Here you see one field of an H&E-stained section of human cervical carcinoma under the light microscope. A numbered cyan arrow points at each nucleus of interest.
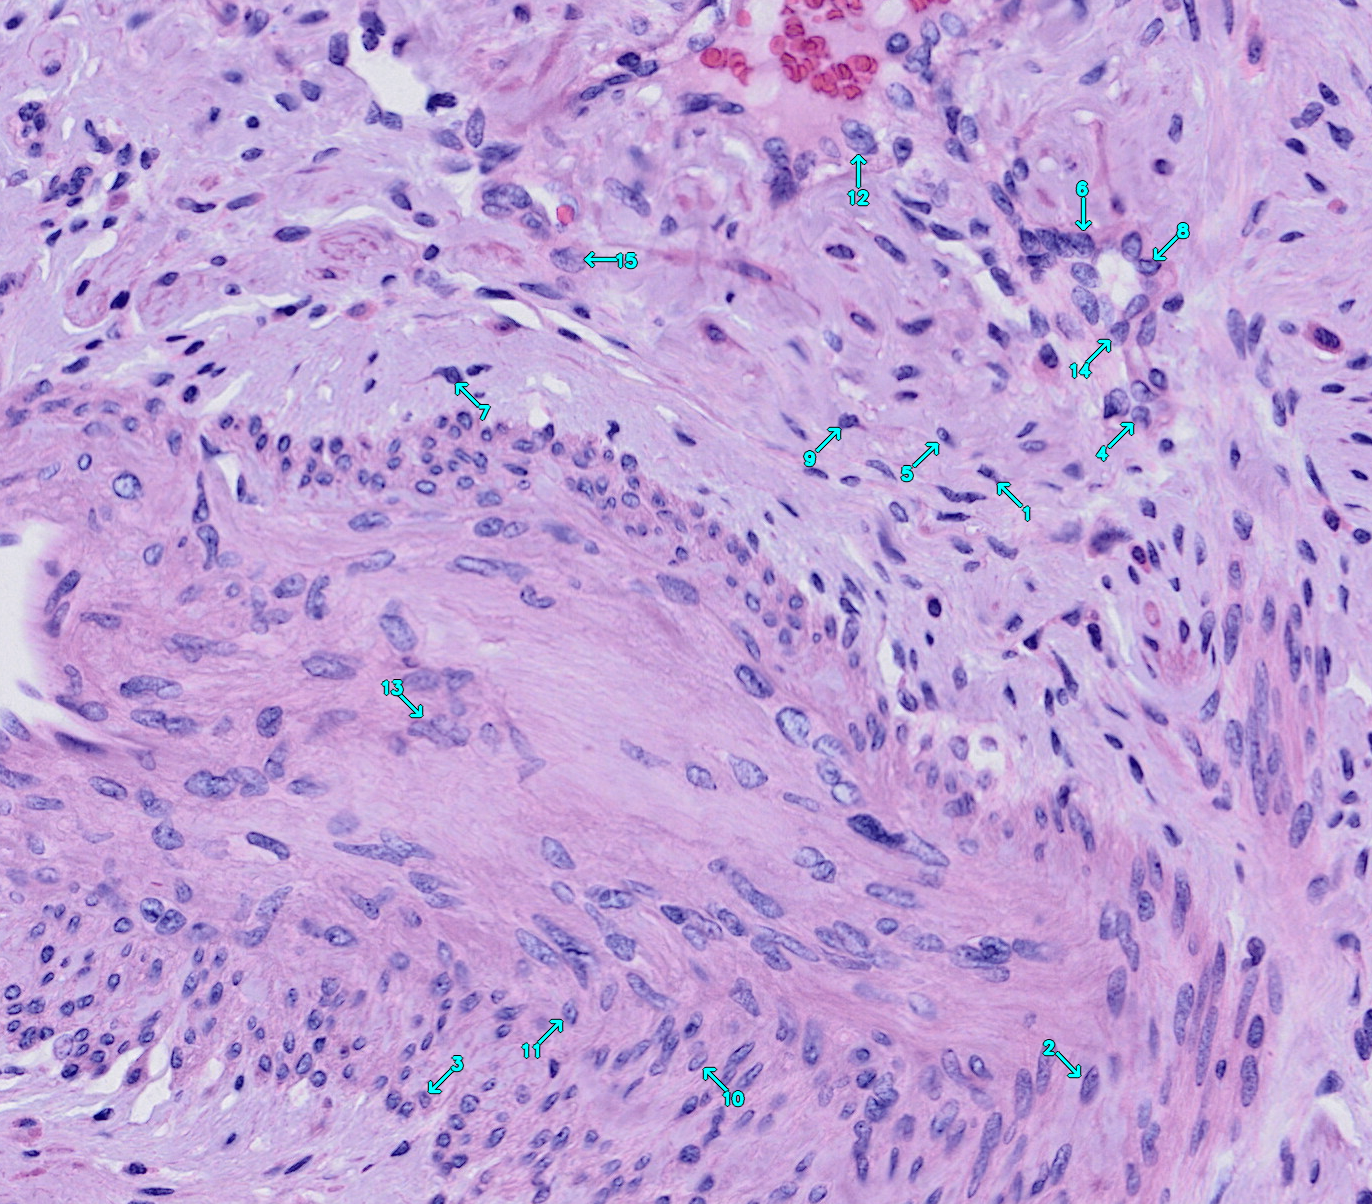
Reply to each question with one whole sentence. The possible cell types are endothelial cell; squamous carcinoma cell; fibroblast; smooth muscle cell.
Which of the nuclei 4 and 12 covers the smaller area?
Number 4 is smaller, since number 12 takes up about 2.5 times as much area.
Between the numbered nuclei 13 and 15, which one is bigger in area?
At about 1.5 times the area of nucleus 15, nucleus 13 is the larger of the two.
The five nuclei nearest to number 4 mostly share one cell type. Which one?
Endothelial cells make up most of the five nuclei closest to number 4.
